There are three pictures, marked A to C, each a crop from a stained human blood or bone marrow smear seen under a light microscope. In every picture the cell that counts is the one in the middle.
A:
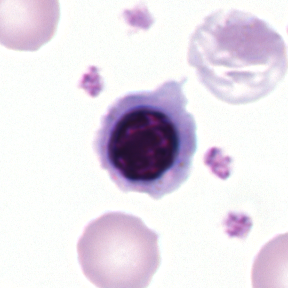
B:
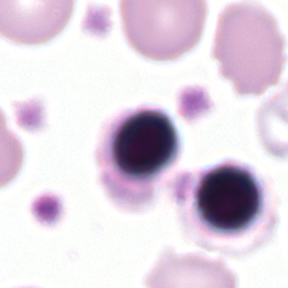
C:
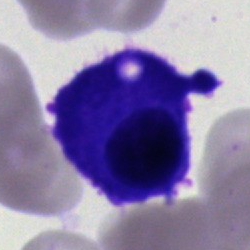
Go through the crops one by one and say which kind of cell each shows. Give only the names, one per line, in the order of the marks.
normoblast
normoblast
plasma cell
